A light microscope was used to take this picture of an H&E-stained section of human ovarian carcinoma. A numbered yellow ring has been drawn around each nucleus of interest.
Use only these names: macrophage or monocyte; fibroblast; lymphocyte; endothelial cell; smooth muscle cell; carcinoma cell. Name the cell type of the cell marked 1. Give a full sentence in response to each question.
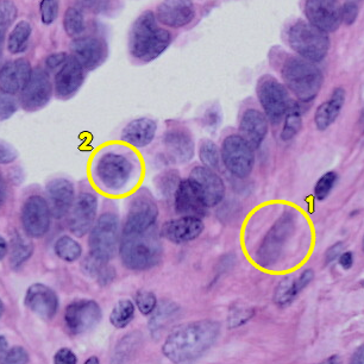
What the number 1 marks in this field is a fibroblast.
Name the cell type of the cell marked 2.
Marked with the number 2, this cell is a macrophage or monocyte.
